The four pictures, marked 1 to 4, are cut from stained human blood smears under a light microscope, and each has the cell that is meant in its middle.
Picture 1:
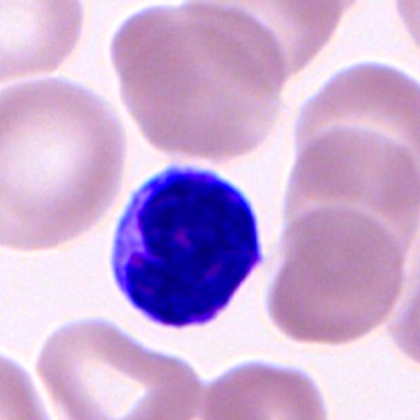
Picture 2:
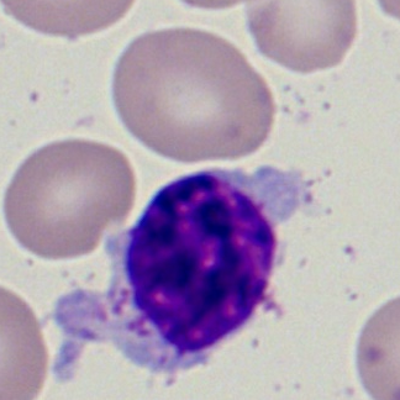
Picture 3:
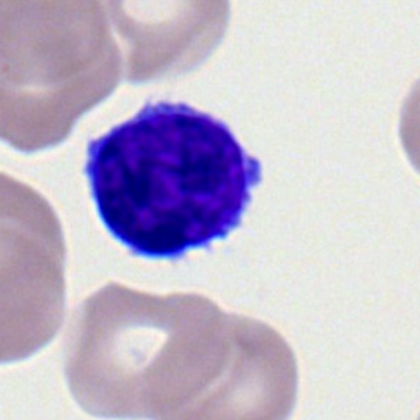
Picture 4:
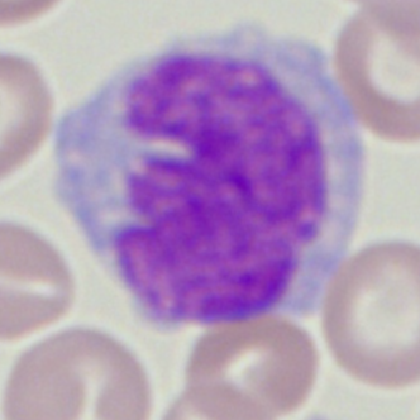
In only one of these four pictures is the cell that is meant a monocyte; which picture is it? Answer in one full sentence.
The monocyte is the one in picture 4.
